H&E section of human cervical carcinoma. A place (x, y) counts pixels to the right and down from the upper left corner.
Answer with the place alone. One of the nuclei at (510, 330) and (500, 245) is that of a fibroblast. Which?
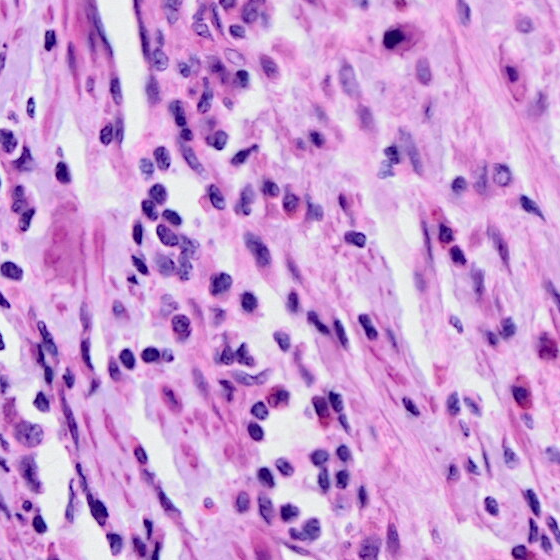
(500, 245)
